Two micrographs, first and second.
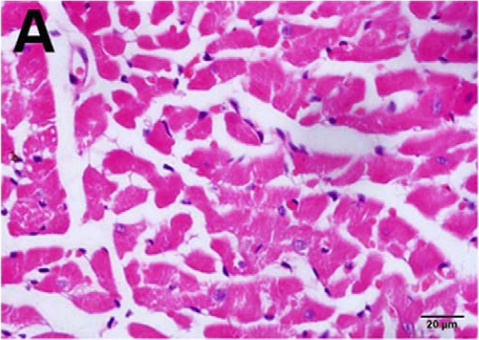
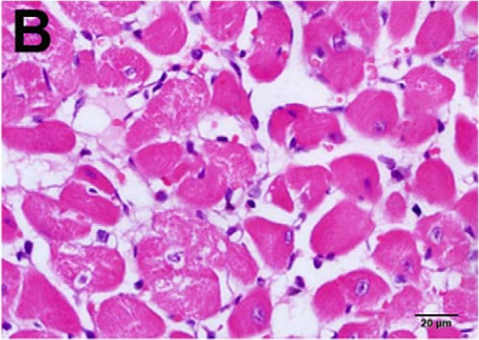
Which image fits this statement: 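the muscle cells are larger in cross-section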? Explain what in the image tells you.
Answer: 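First image: the cell profiles are smaller and narrower, many about the length of the scale bar or less.
Hence: the second image.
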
